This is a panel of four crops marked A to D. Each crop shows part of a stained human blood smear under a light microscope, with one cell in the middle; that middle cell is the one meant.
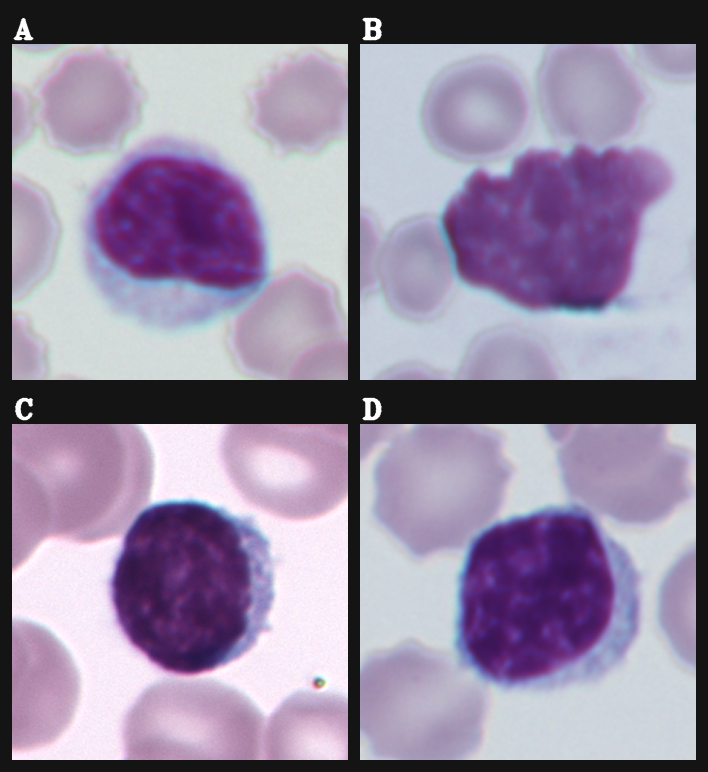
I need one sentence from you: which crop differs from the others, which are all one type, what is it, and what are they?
Crop B is the different one, a smudge cell, while the rest are typical lymphocytes.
